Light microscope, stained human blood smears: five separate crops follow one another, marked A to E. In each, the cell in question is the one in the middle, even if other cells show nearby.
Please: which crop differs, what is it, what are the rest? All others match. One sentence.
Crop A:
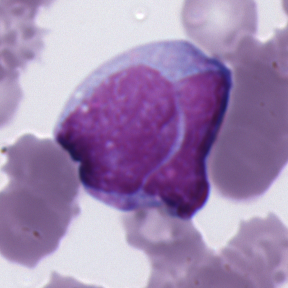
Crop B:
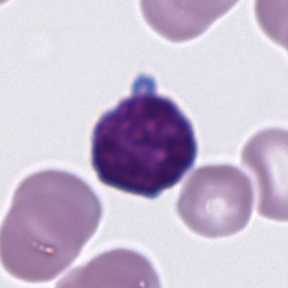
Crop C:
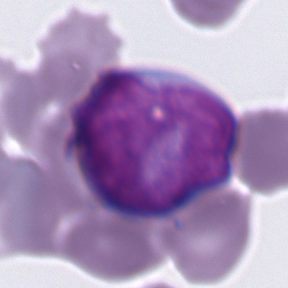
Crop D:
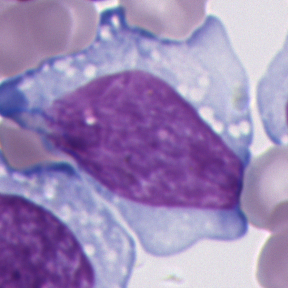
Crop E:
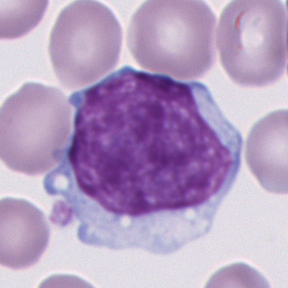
Crop B is the different one, a typical lymphocyte, while the rest are myeloblasts.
